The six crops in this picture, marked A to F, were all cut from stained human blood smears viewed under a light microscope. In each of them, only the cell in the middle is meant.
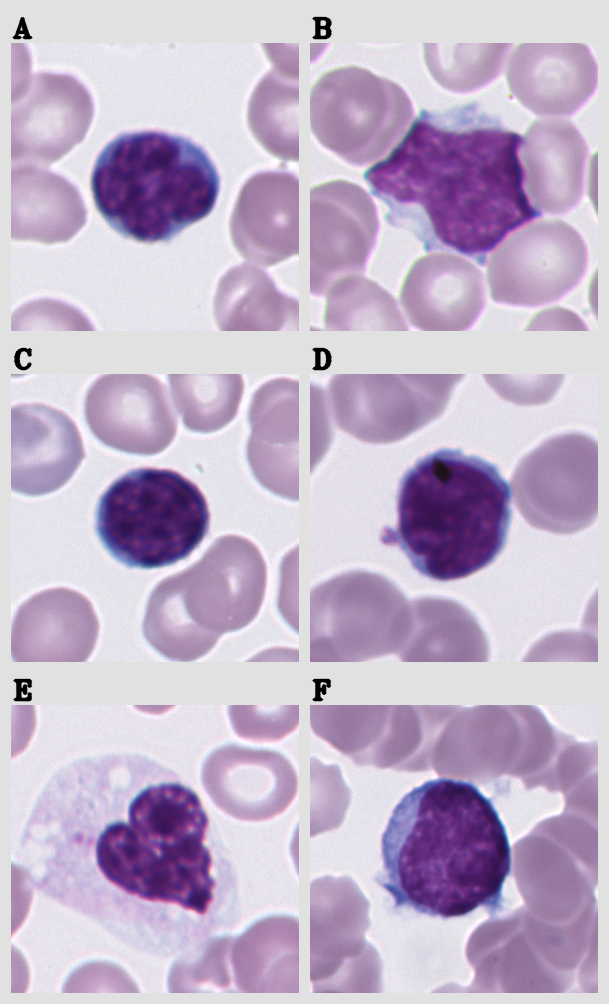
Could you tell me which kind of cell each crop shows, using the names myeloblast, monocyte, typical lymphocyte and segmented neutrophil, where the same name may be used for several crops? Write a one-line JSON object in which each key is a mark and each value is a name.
{"A": "myeloblast", "B": "typical lymphocyte", "C": "typical lymphocyte", "D": "typical lymphocyte", "E": "segmented neutrophil", "F": "typical lymphocyte"}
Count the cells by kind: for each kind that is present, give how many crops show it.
typical lymphocyte: 4
myeloblast: 1
segmented neutrophil: 1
